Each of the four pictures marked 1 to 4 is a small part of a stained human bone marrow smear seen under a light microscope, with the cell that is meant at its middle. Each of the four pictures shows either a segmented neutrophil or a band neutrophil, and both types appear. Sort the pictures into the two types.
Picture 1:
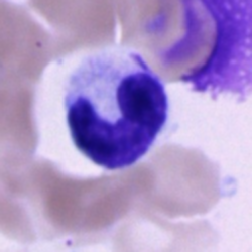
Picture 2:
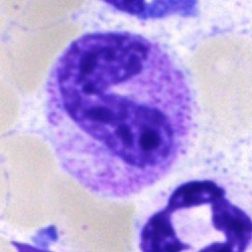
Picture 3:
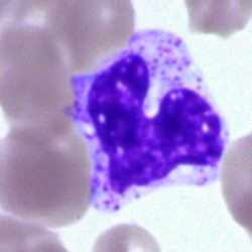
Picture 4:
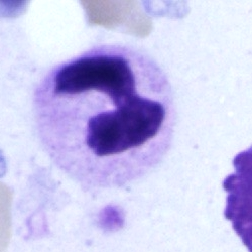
1: band neutrophil
2: band neutrophil
3: band neutrophil
4: segmented neutrophil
